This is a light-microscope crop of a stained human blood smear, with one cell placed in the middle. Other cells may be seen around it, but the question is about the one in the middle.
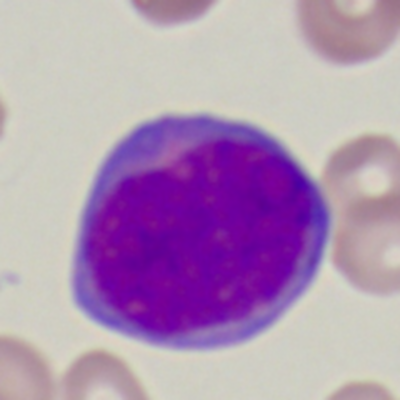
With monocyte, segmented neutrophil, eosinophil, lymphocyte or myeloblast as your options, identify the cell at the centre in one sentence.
The cell of interest, in the center, is a myeloblast.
